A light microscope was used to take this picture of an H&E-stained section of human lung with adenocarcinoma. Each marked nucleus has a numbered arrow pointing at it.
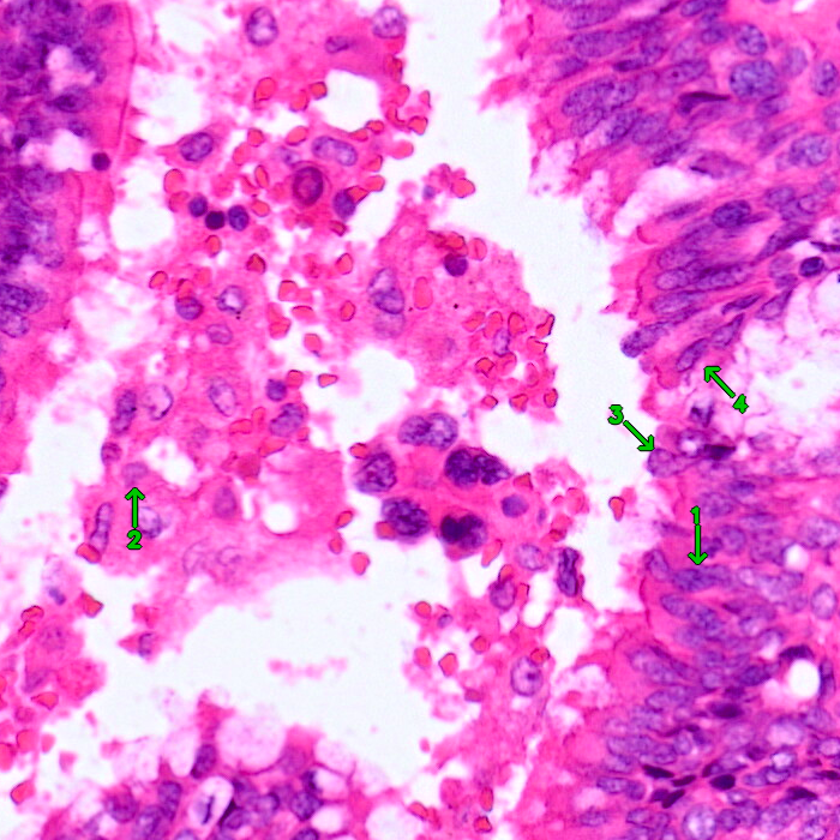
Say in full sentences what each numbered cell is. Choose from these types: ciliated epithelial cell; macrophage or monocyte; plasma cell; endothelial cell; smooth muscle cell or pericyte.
Cell 1 is a ciliated epithelial cell, cell 2 is a macrophage or monocyte, cell 3 is a ciliated epithelial cell and cell 4 is a ciliated epithelial cell.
